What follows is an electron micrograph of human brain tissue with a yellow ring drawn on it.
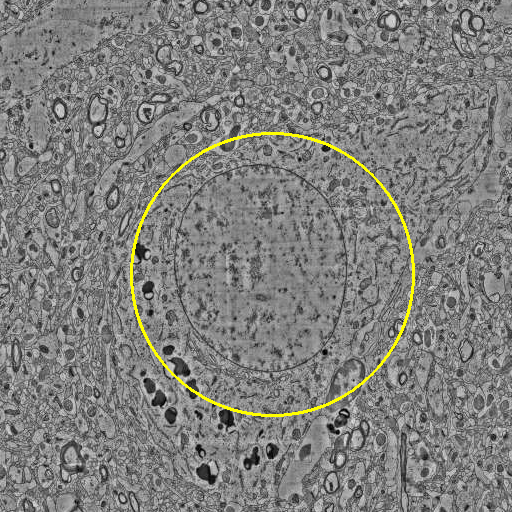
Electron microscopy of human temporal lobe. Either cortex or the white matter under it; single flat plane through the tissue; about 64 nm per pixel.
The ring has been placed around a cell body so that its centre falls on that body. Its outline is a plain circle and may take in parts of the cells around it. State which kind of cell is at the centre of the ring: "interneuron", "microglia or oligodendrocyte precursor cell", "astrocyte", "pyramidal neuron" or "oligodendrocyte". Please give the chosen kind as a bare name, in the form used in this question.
pyramidal neuron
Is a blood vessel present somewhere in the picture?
No, no blood vessel shows in the picture.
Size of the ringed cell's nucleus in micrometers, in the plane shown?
About 13 micrometers across, in this plane.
